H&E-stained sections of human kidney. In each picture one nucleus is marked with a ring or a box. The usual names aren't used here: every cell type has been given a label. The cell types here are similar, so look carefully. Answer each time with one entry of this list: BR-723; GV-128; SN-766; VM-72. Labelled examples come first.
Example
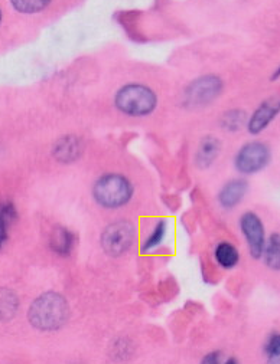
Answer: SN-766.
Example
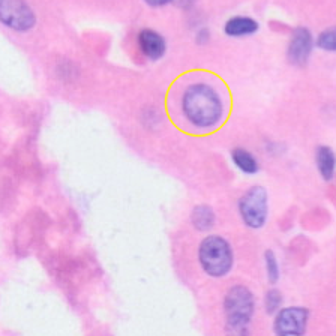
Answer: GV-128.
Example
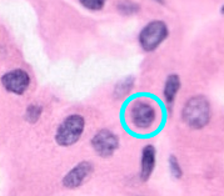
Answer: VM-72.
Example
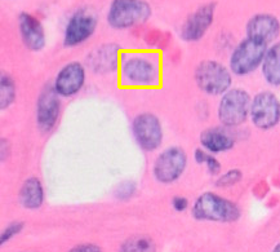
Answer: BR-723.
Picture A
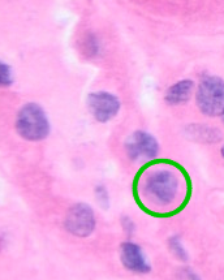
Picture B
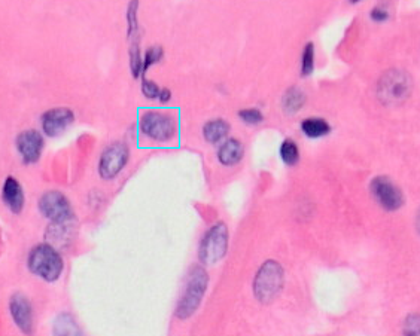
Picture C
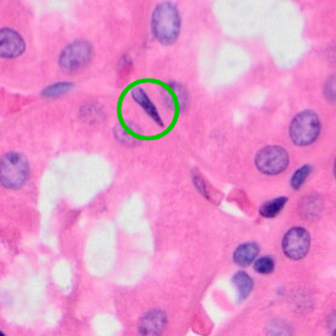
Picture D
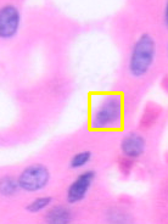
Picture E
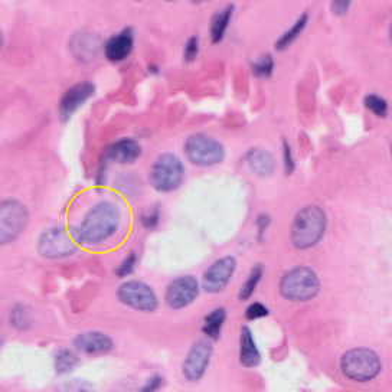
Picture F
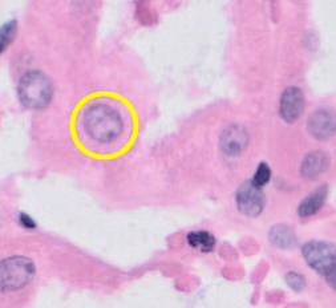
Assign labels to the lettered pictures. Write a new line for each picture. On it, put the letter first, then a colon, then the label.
A: VM-72.
B: BR-723.
C: SN-766.
D: BR-723.
E: BR-723.
F: GV-128.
